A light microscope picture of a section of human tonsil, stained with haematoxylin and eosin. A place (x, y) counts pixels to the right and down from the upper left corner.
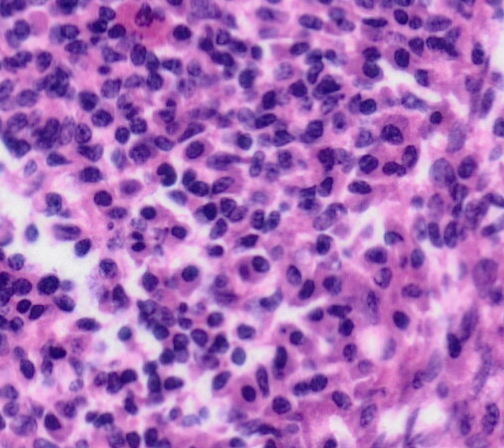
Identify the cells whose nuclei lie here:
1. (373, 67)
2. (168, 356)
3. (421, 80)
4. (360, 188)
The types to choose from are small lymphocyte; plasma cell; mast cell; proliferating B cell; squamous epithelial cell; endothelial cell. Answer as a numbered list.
1. plasma cell
2. small lymphocyte
3. plasma cell
4. plasma cell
